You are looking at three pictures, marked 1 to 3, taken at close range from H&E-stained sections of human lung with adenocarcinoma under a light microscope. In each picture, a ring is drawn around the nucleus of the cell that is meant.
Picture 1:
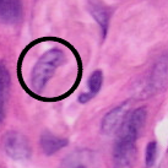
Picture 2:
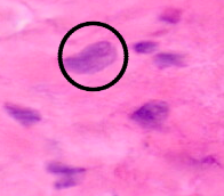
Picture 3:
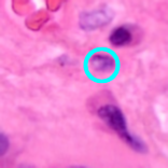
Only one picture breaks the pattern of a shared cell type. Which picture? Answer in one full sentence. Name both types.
The others show fibroblasts, but picture 3 shows a mast cell.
